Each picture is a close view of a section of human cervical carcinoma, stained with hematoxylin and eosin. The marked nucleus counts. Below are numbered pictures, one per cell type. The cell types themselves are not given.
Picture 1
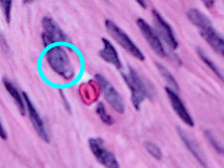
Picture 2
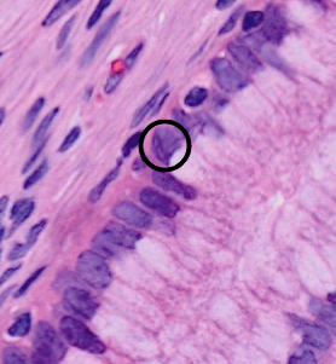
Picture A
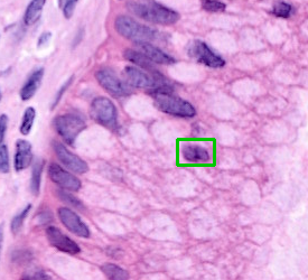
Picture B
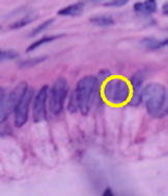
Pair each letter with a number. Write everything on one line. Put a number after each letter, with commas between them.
A 2, B 2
